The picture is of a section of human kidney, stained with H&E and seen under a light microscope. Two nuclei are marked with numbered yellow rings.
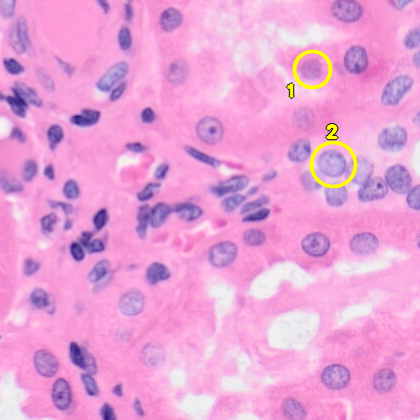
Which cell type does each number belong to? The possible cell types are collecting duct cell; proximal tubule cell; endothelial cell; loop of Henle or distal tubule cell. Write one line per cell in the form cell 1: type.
cell 1: proximal tubule cell
cell 2: collecting duct cell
